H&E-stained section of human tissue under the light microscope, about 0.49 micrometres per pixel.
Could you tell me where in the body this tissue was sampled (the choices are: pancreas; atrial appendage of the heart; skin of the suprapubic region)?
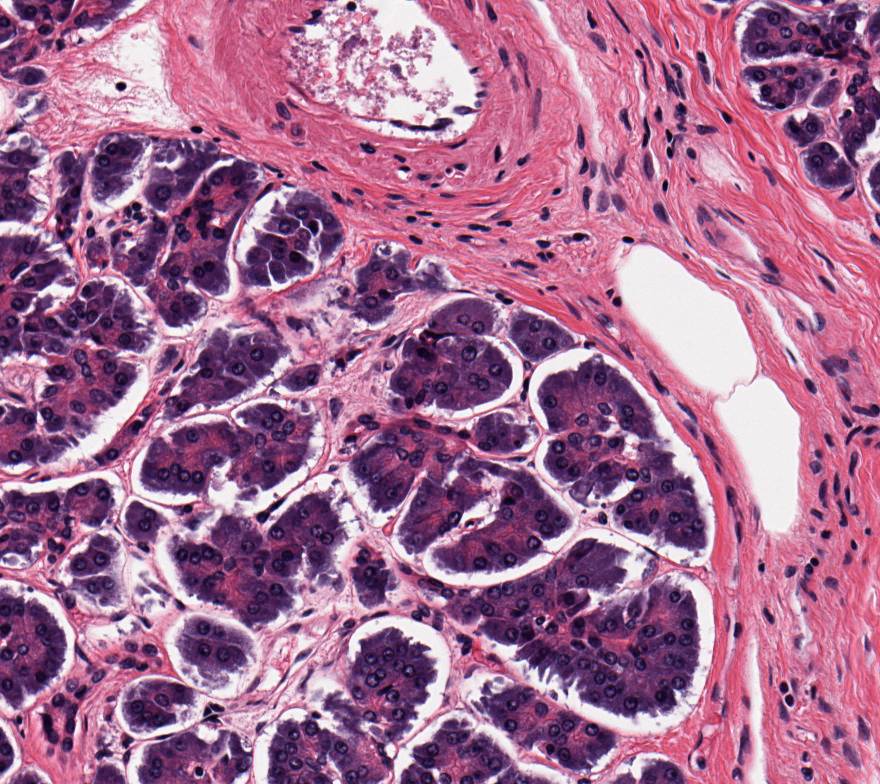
pancreas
